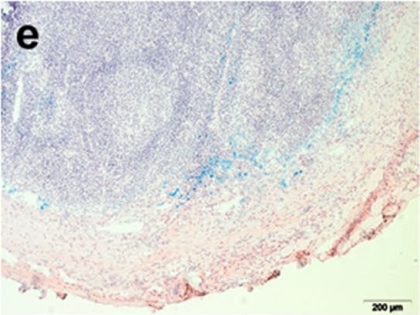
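This section shows lymph node tissue packed with small, darkly purple-stained lymphoid cells. A rounded, paler nodule sits within the dense cell mass, consistent with a germinal center. Blue granular deposits run in a band beneath the outer margin, marking the sinuses.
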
